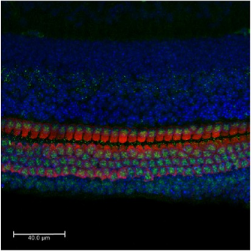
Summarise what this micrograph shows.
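A single row sits above a dark dividing line, and below it lies a broader band of several rows of red cells. Green, roughly round nuclei are packed in a regular array within the band of hair cells, giving a speckled pattern. Blue nuclei fill the surrounding tissue above and below the hair cell rows.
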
